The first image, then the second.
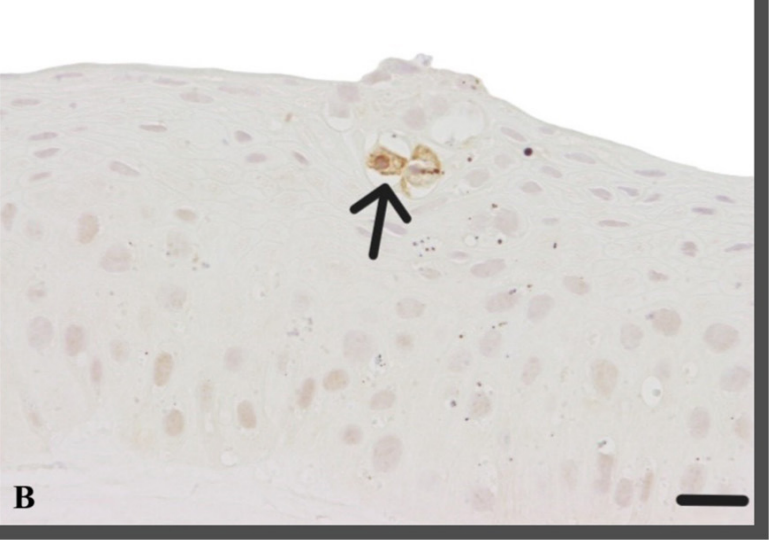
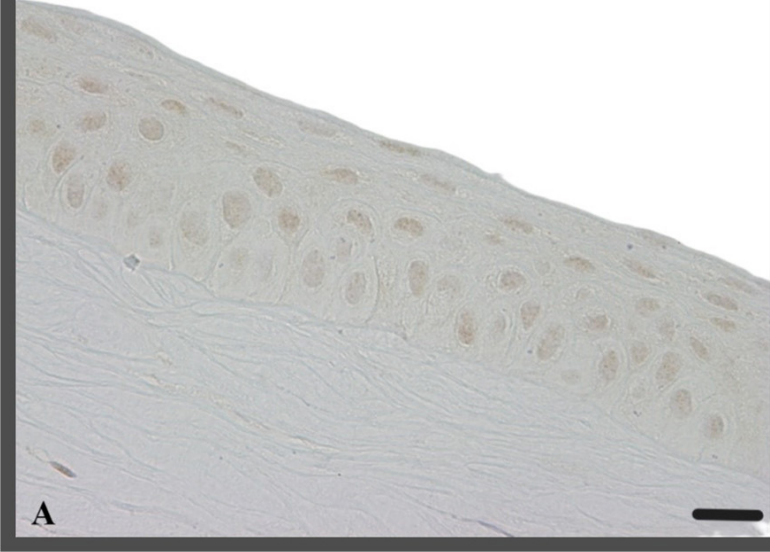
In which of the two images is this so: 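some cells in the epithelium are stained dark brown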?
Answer: The first image.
